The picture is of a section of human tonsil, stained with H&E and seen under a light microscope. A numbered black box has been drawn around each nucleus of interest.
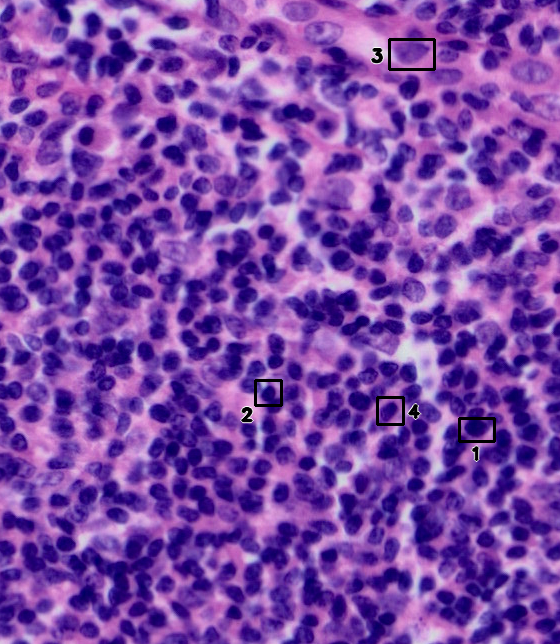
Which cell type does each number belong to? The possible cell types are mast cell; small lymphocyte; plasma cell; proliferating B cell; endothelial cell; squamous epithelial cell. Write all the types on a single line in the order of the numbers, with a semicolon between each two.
small lymphocyte; small lymphocyte; endothelial cell; small lymphocyte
